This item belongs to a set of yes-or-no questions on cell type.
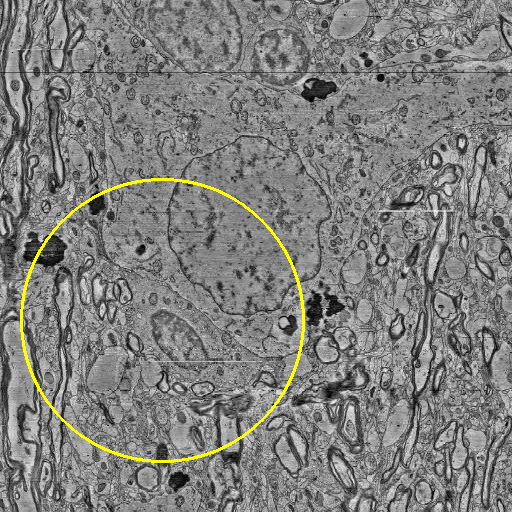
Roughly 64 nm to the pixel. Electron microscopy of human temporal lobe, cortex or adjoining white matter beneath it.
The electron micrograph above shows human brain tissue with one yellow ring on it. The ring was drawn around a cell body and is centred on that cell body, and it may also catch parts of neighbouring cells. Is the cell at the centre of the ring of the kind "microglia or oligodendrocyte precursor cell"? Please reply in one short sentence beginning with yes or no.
No, that cell is of another kind.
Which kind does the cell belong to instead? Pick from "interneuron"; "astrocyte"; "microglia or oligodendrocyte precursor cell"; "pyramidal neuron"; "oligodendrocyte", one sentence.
At the centre of the ring sits an oligodendrocyte.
